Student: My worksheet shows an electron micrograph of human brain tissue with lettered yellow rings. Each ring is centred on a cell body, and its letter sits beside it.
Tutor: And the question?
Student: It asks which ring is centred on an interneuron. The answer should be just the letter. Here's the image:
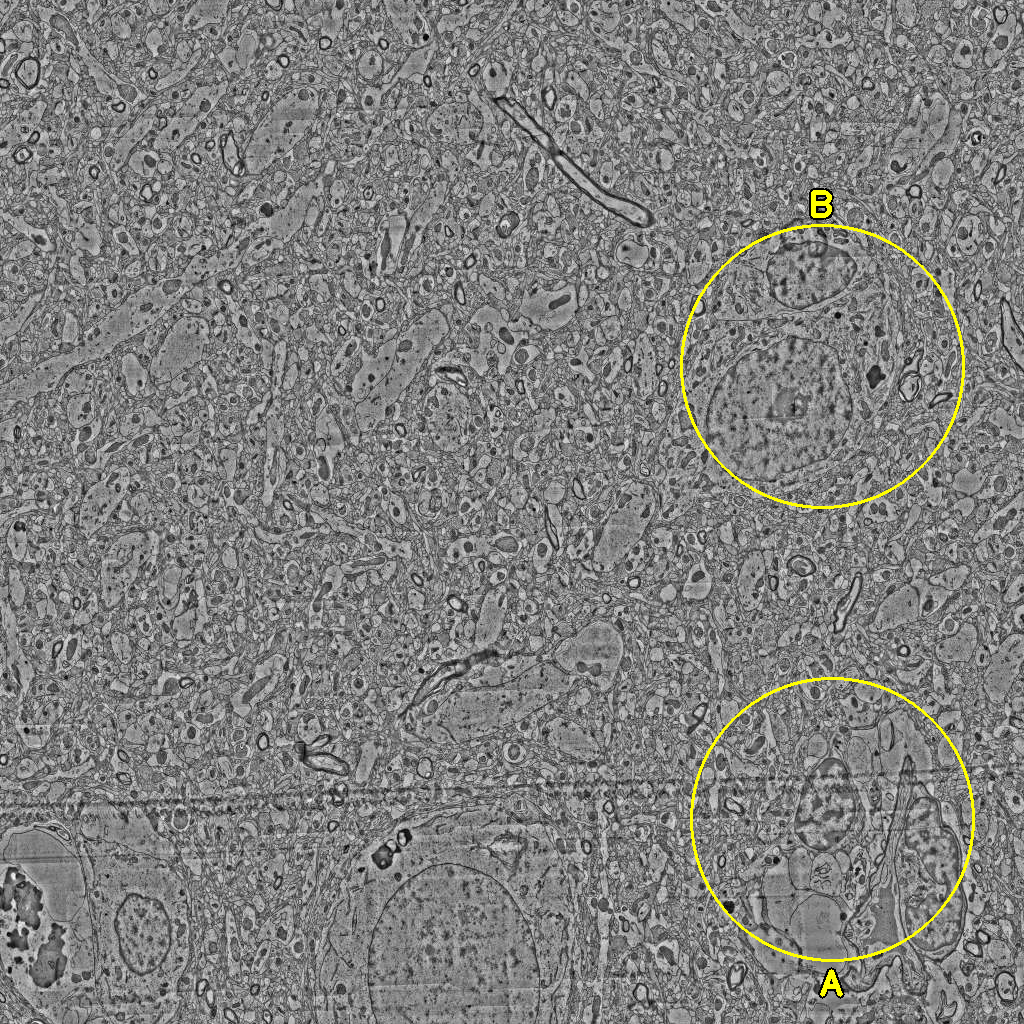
B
